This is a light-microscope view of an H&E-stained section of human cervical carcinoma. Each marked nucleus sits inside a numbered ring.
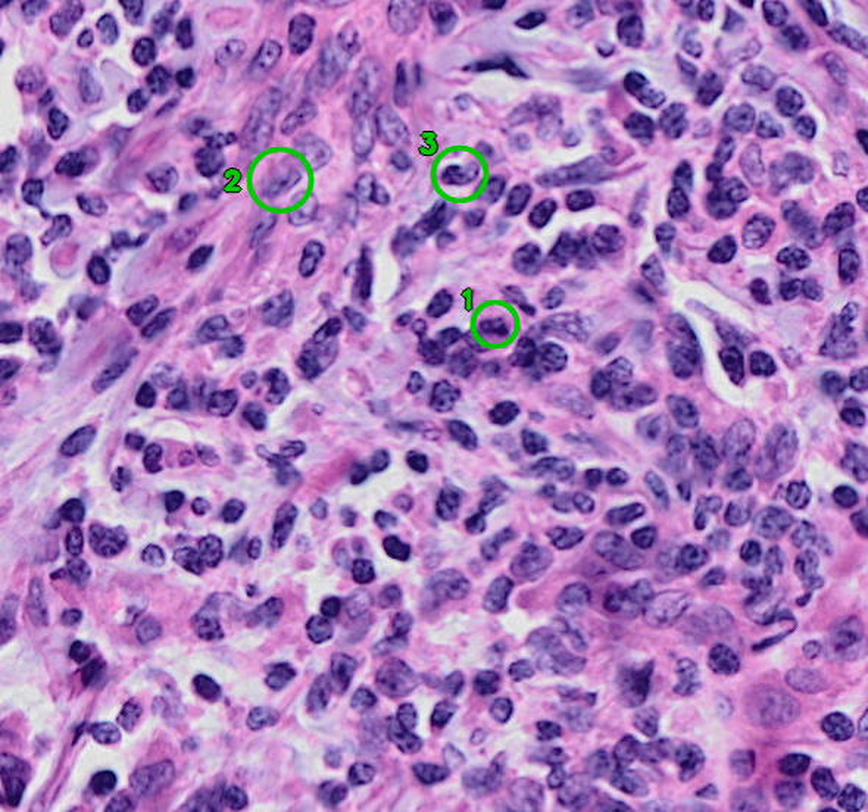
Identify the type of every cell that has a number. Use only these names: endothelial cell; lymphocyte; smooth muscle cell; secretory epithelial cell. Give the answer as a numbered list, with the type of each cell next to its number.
1. lymphocyte
2. endothelial cell
3. lymphocyte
